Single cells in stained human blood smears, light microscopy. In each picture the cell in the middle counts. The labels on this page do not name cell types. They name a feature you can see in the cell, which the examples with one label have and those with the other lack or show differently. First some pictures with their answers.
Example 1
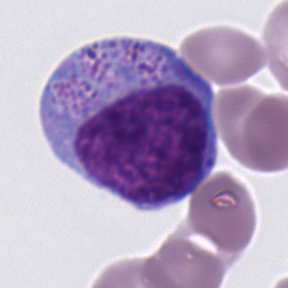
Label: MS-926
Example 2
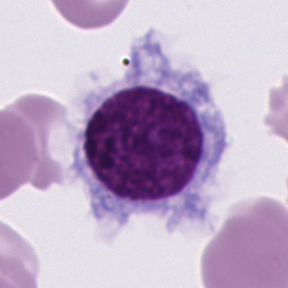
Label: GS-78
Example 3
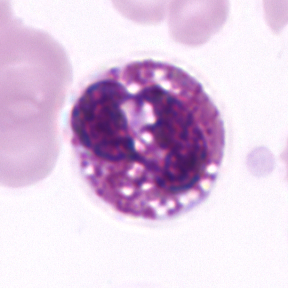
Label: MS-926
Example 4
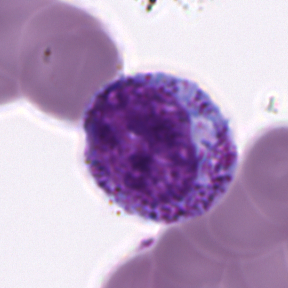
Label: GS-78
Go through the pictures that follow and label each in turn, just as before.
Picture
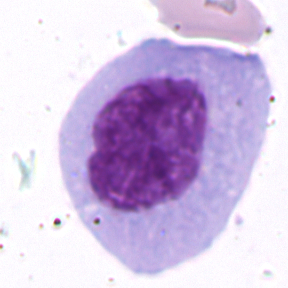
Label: MS-926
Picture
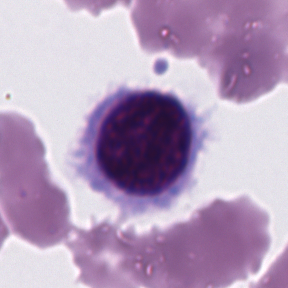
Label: GS-78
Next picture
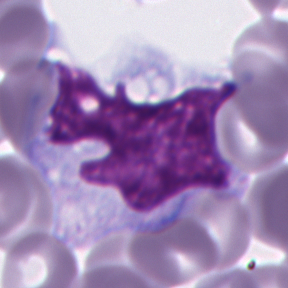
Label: MS-926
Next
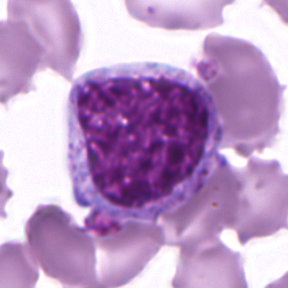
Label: GS-78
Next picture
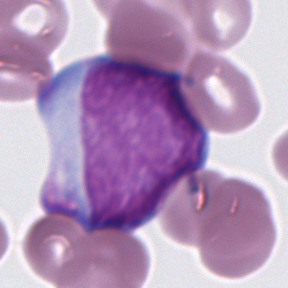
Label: MS-926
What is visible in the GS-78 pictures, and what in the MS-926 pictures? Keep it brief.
In GS-78: scant cytoplasm. In MS-926: abundant cytoplasm.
